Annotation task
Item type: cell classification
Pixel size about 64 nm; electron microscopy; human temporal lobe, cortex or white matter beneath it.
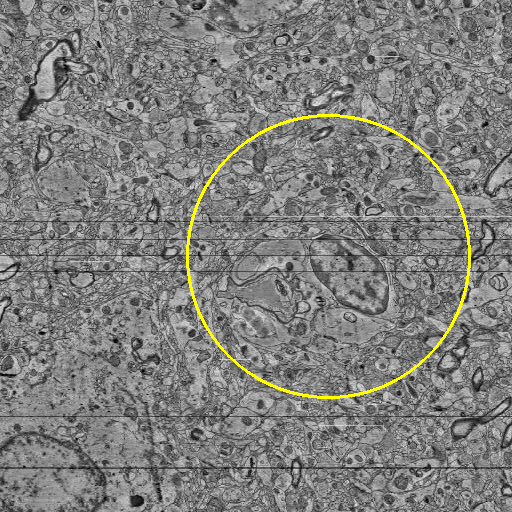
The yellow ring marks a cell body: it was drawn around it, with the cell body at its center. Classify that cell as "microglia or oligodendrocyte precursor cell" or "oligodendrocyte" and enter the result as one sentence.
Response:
The ring's center falls on a microglial cell or oligodendrocyte precursor cell.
